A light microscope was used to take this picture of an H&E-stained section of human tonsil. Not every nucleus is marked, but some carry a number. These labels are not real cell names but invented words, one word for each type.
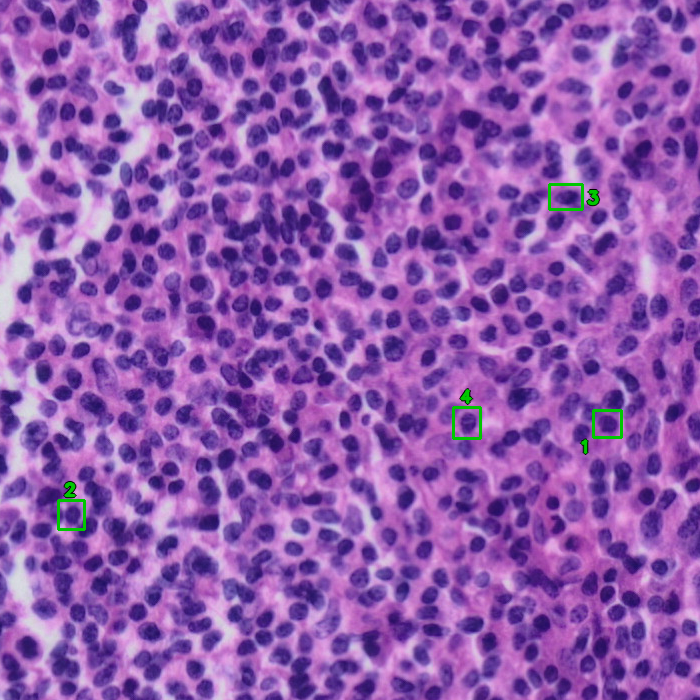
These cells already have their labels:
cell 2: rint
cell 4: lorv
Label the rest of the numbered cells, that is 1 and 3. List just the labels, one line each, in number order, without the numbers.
lorv
lorv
